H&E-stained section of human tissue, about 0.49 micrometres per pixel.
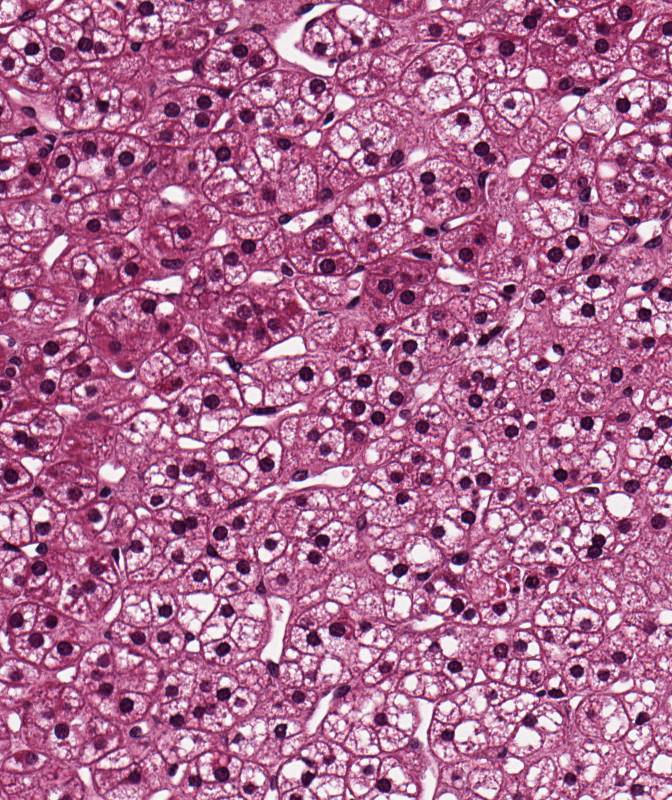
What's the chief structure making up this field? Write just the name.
zona fasciculata of the adrenal gland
